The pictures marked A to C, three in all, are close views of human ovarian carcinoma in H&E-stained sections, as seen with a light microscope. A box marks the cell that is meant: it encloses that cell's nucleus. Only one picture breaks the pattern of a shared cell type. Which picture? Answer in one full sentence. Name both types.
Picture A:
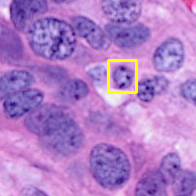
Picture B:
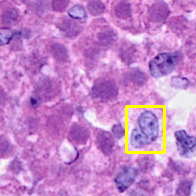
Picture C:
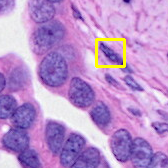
Picture C differs, because its cell is a fibroblast and the rest are “macrophages or monocytes”.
